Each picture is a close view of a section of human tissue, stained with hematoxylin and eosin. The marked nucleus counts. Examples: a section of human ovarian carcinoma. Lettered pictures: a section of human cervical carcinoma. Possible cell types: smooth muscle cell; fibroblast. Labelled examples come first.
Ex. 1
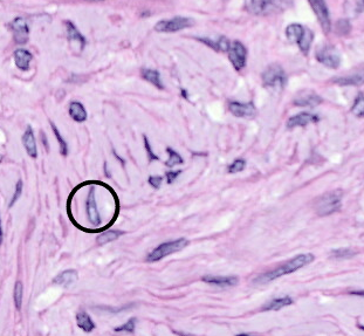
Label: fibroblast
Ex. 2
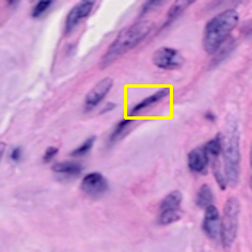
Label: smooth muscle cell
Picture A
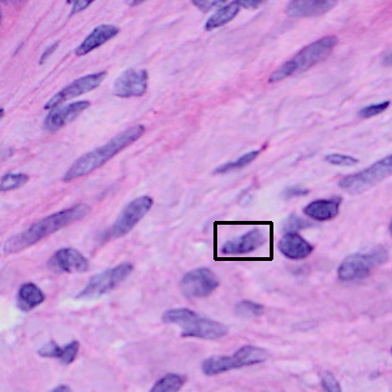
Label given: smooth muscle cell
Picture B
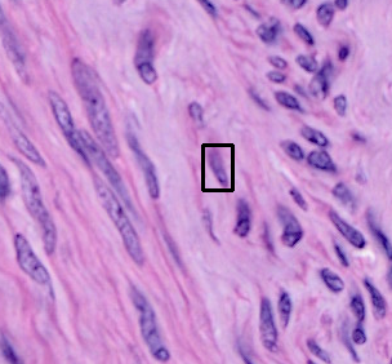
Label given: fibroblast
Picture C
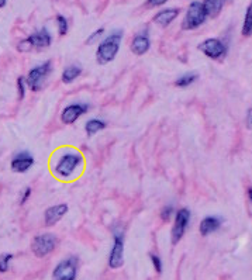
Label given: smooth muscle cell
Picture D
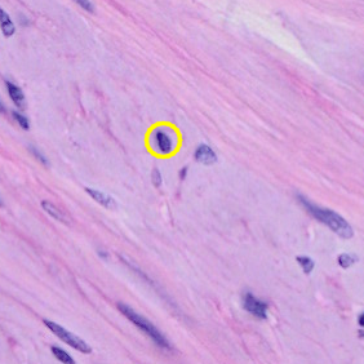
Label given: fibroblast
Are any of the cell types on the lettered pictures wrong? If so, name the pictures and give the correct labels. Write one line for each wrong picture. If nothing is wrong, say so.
A: not smooth muscle cell but fibroblast
B: not fibroblast but smooth muscle cell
